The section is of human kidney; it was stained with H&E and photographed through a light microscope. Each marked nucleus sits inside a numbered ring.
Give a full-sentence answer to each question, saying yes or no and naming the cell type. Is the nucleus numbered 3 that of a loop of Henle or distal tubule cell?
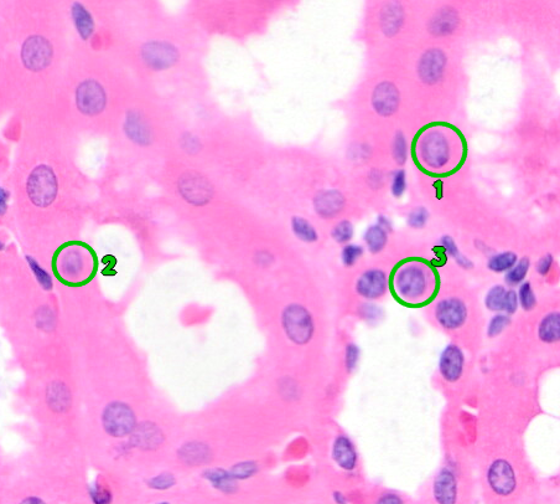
Yes. The cell carrying number 3 is a loop of Henle or distal tubule cell.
